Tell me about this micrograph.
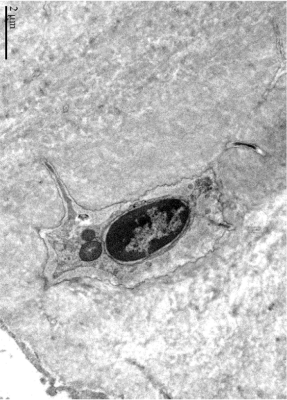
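An osteocyte lies alone within a lacuna in fibrillar bone matrix. Slender cytoplasmic processes extend from the cell body into the surrounding matrix, and a narrow pale space separates the cell from the lacunar wall.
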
